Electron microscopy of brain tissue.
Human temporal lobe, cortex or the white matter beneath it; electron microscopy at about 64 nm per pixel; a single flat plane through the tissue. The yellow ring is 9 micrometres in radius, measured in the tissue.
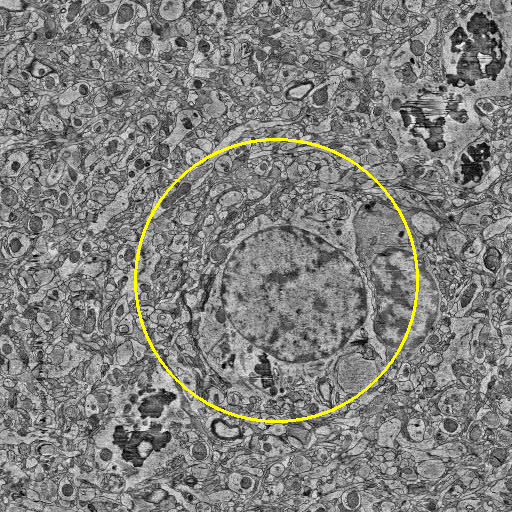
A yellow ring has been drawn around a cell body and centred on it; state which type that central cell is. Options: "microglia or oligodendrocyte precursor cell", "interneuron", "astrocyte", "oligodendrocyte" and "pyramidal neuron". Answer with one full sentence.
The cell at the middle of the yellow ring is an astrocyte in this picture.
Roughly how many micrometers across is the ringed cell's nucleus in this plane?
The nucleus appears about 9 micrometres across in this plane.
